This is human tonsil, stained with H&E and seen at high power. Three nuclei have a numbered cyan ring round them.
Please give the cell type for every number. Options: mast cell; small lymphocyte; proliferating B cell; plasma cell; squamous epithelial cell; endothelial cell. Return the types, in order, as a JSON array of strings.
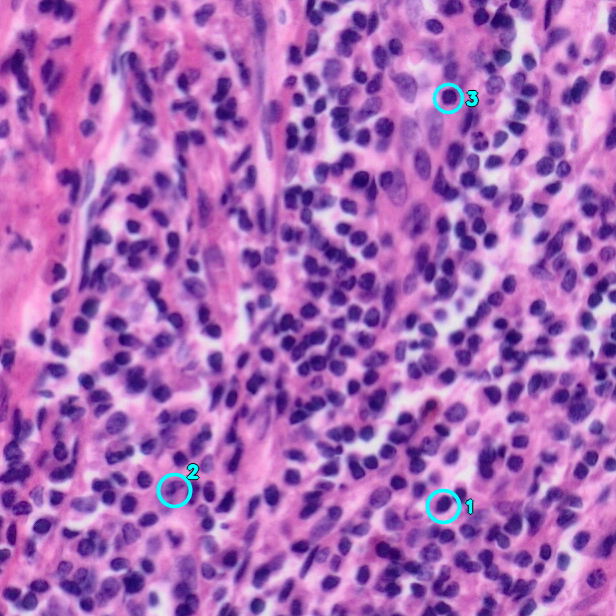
["small lymphocyte", "endothelial cell", "endothelial cell"]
